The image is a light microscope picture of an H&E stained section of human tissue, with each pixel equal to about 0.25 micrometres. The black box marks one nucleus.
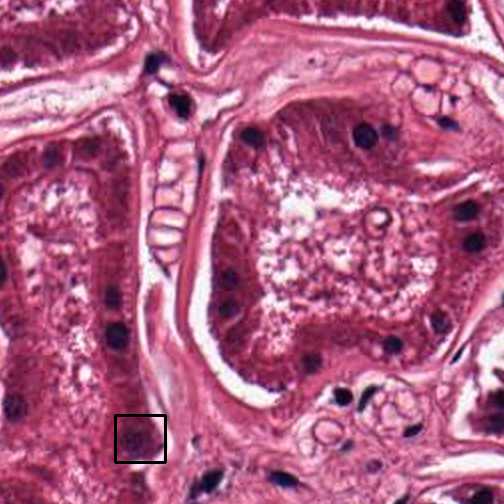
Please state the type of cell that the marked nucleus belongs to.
proximal tubule cell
